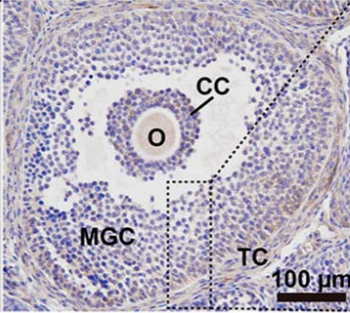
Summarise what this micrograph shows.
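An antral ovarian follicle is shown, with a central oocyte enclosed by a rounded cluster of cumulus cells lying within a wide, pale antrum. Multiple layers of mural granulosa cells with small, round, dark blue nuclei line the antral wall; these cells appear mostly blue, with little brown colour in their cytoplasm. Outside the granulosa layer, flattened elongated theca cells form thin concentric layers at the follicle border, showing faint brownish tone. Parts of adjacent follicles appear at the margins.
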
